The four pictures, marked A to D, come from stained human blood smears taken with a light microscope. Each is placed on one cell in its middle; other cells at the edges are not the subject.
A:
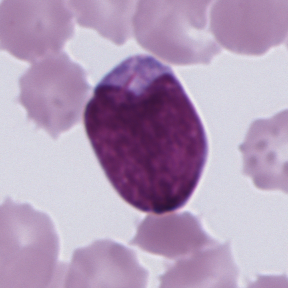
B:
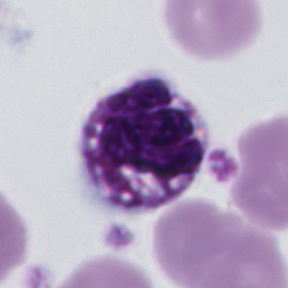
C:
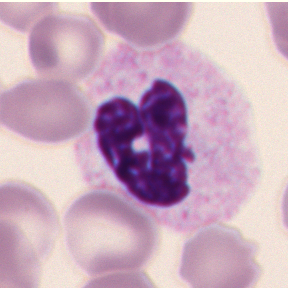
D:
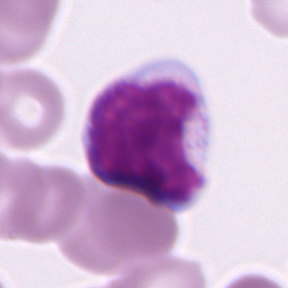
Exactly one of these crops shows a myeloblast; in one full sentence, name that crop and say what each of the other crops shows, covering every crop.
In crop A there is a myeloblast, while crop B is an eosinophil, crop C is a segmented neutrophil and crop D is a large granular lymphocyte.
